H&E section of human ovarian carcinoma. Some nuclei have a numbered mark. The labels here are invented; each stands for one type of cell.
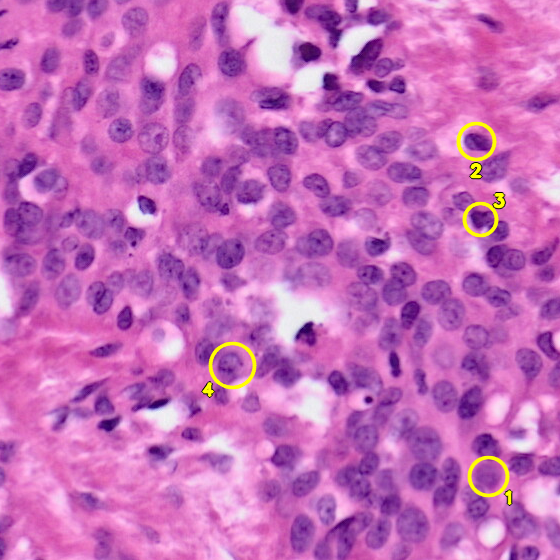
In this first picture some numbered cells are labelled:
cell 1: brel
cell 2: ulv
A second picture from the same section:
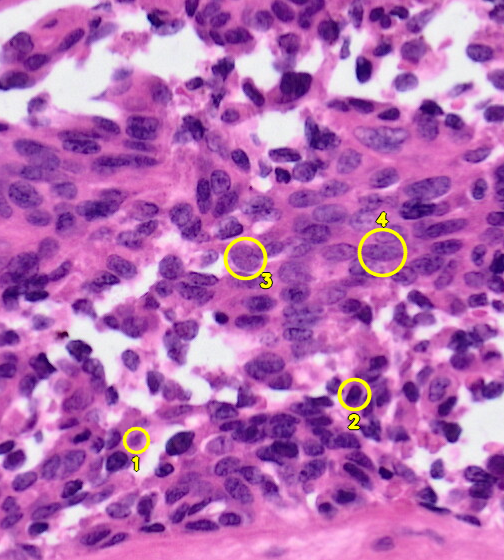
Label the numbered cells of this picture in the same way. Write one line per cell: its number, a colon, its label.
1: ulv
2: brel
3: brel
4: brel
